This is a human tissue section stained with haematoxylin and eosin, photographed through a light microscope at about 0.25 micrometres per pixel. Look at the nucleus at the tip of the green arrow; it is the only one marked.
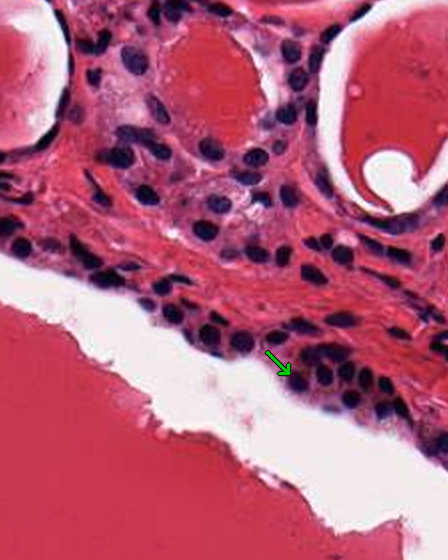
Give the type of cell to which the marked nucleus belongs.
thyroid follicular cell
